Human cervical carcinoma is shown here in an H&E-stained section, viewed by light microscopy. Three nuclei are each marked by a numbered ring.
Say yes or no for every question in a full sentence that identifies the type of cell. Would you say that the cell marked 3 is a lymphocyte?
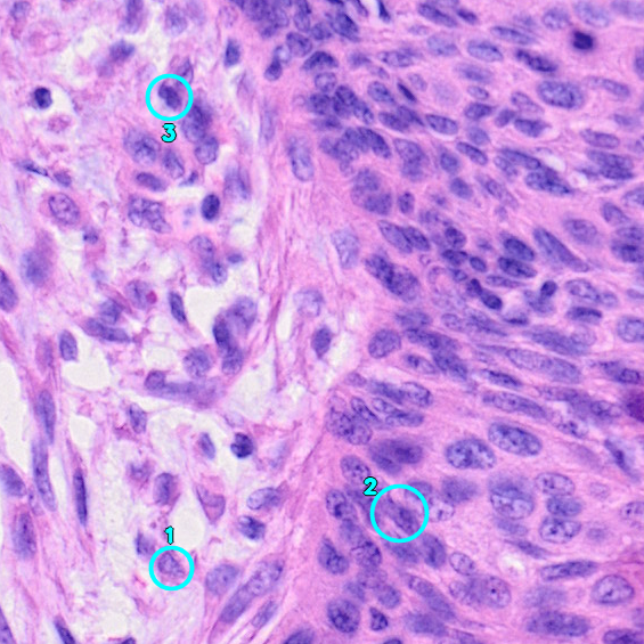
Yes, the cell numbered 3 in this tissue is a lymphocyte.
